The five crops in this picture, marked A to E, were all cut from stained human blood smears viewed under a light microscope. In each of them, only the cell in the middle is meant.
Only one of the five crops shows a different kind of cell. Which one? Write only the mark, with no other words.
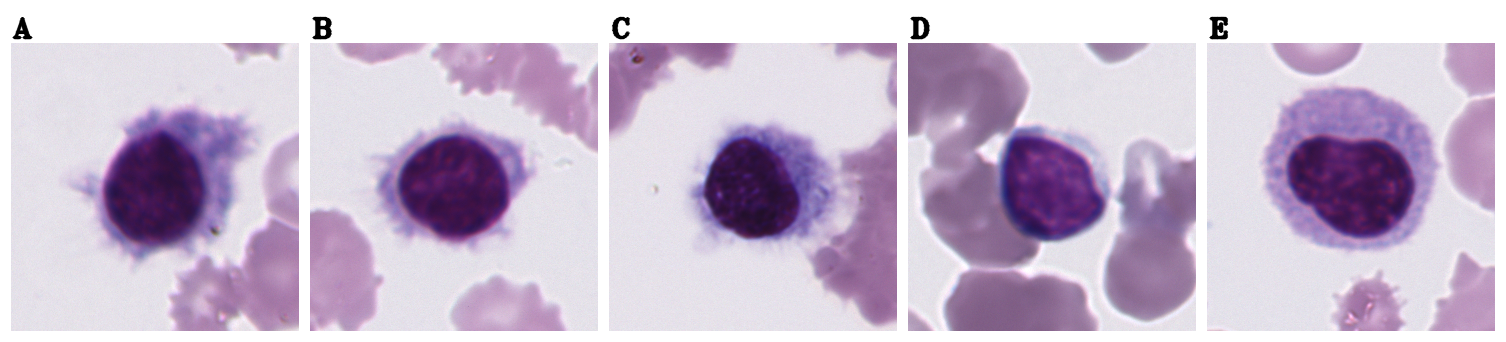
D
